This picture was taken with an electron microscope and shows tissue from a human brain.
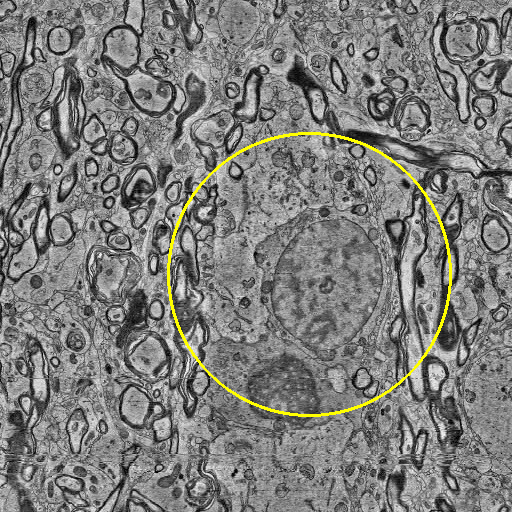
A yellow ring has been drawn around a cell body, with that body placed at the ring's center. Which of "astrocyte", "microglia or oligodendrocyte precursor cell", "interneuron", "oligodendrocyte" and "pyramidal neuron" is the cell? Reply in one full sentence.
In this picture, an oligodendrocyte is the cell at the center of the yellow ring.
